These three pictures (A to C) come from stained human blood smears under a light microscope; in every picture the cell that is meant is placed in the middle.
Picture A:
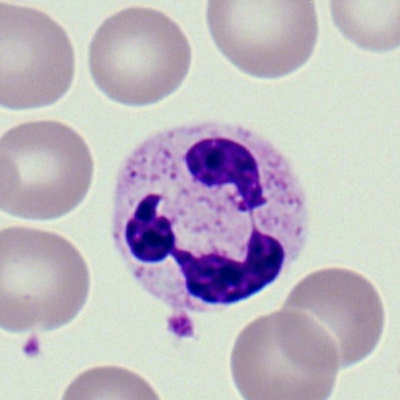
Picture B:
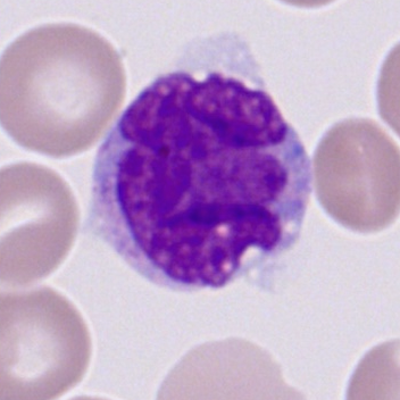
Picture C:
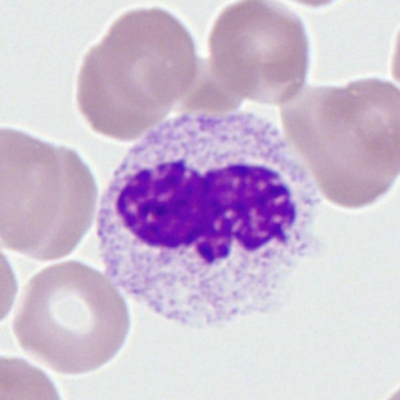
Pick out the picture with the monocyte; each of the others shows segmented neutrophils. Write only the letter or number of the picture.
B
